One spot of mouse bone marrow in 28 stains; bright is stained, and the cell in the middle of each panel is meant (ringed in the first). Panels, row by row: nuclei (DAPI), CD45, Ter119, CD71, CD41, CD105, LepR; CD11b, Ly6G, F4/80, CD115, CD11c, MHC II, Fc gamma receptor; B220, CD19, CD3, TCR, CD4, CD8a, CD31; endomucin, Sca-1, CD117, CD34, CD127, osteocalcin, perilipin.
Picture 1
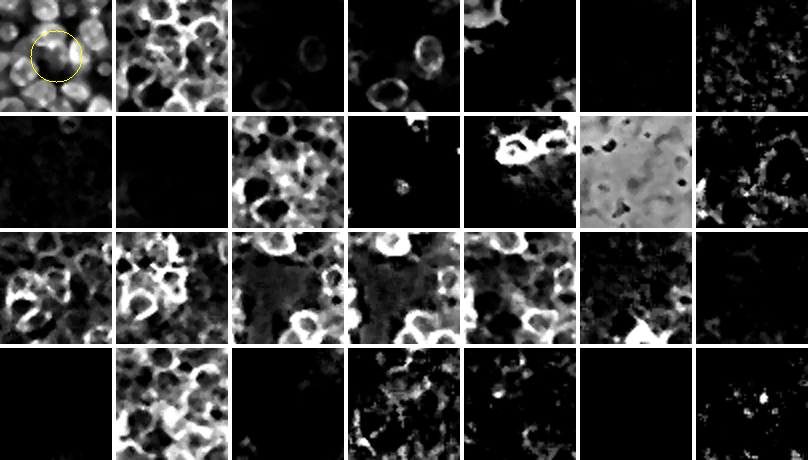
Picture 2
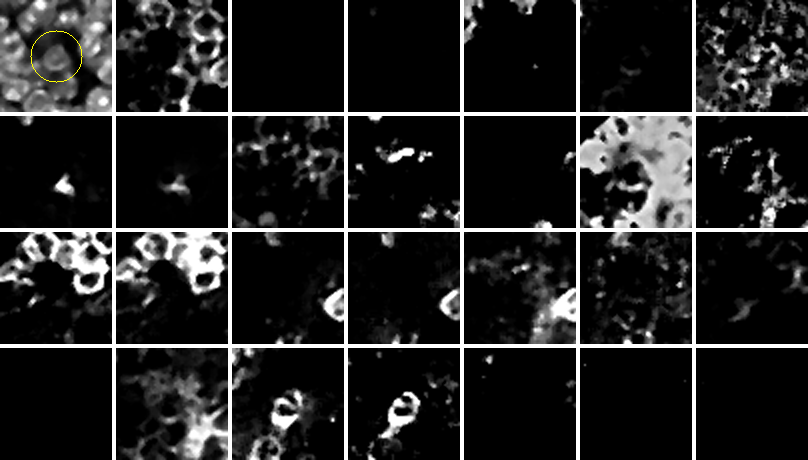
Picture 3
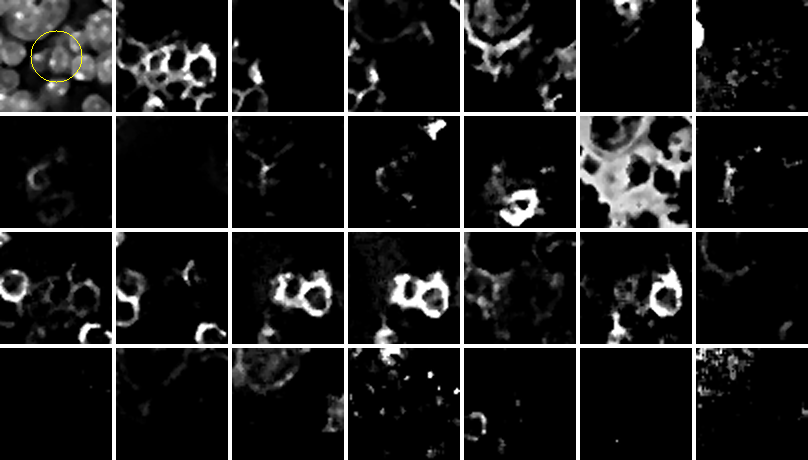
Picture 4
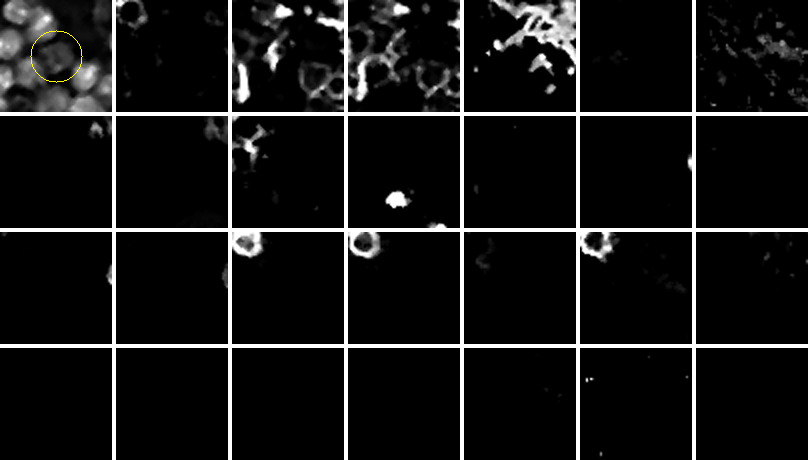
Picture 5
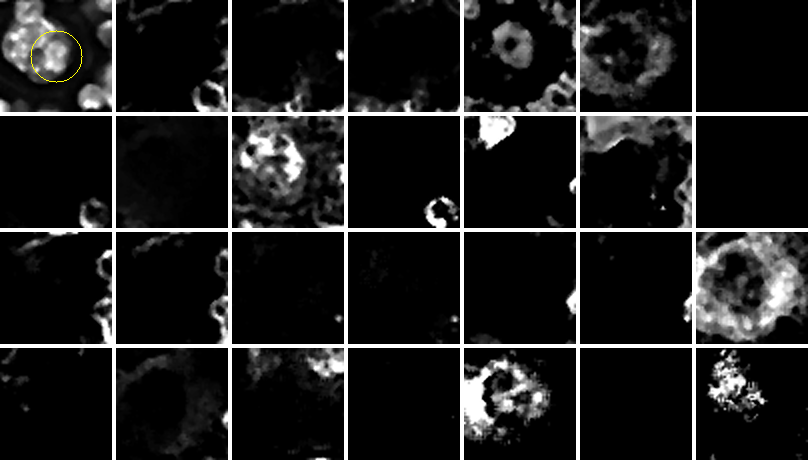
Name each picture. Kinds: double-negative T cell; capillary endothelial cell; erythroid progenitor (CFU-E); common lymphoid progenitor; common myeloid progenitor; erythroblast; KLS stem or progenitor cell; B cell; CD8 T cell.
Picture 1: B cell
Picture 2: common myeloid progenitor
Picture 3: double-negative T cell
Picture 4: erythroblast
Picture 5: common lymphoid progenitor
